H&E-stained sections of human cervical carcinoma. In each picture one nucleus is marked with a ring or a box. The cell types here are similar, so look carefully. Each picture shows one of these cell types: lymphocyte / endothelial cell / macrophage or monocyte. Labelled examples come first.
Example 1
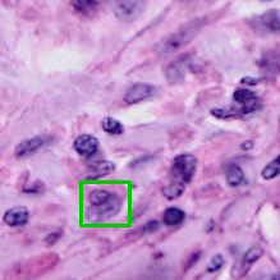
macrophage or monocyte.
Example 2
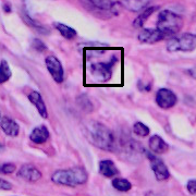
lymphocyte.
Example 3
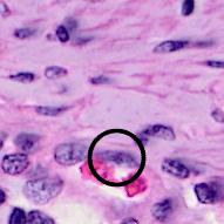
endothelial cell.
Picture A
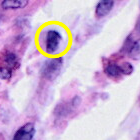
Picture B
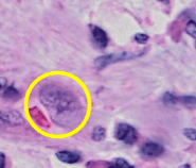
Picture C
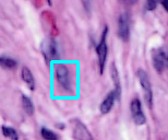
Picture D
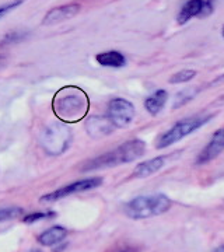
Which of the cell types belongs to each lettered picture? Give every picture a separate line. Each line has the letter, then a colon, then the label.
A: lymphocyte.
B: endothelial cell.
C: endothelial cell.
D: endothelial cell.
